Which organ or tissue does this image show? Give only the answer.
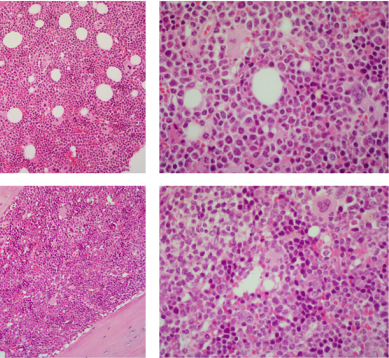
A: Bone marrow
